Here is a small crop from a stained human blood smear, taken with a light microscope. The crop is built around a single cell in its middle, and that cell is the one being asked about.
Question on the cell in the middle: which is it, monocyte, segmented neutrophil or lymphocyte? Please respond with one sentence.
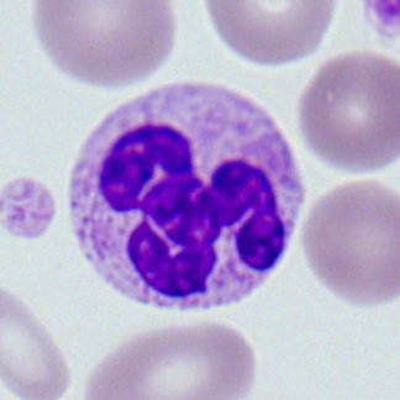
In this crop, the cell at the very middle is a segmented neutrophil.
